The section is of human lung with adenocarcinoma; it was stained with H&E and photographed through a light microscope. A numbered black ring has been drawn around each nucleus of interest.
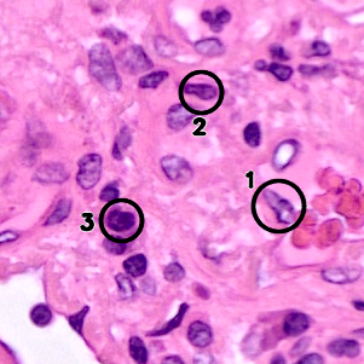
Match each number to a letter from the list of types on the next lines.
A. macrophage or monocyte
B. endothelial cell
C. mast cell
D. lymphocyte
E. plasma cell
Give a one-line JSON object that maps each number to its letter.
{"1": "B", "2": "E", "3": "E"}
